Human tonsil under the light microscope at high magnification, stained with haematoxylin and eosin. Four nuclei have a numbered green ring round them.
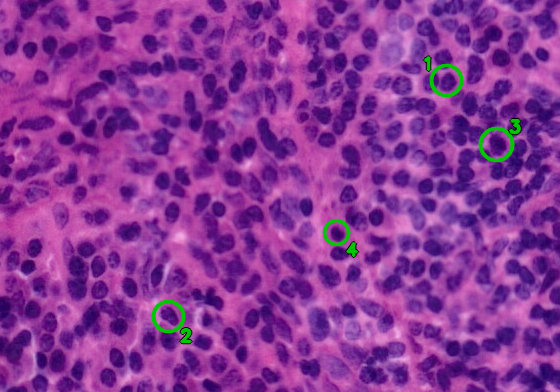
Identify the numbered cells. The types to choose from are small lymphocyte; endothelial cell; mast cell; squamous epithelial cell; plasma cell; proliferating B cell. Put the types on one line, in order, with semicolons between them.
plasma cell; plasma cell; small lymphocyte; plasma cell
